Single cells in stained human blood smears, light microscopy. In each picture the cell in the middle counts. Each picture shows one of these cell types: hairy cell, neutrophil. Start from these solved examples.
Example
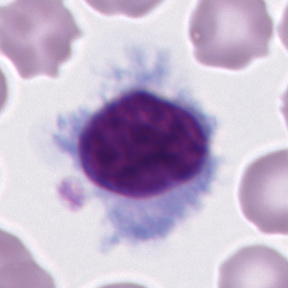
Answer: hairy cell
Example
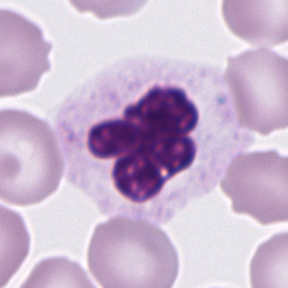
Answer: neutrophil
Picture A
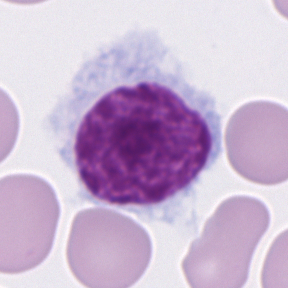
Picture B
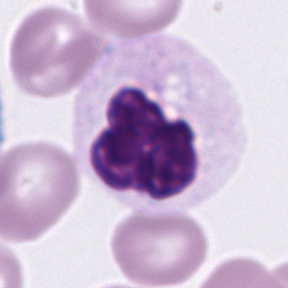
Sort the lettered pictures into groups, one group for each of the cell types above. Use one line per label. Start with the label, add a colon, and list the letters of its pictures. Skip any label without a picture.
hairy cell: A
neutrophil: B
